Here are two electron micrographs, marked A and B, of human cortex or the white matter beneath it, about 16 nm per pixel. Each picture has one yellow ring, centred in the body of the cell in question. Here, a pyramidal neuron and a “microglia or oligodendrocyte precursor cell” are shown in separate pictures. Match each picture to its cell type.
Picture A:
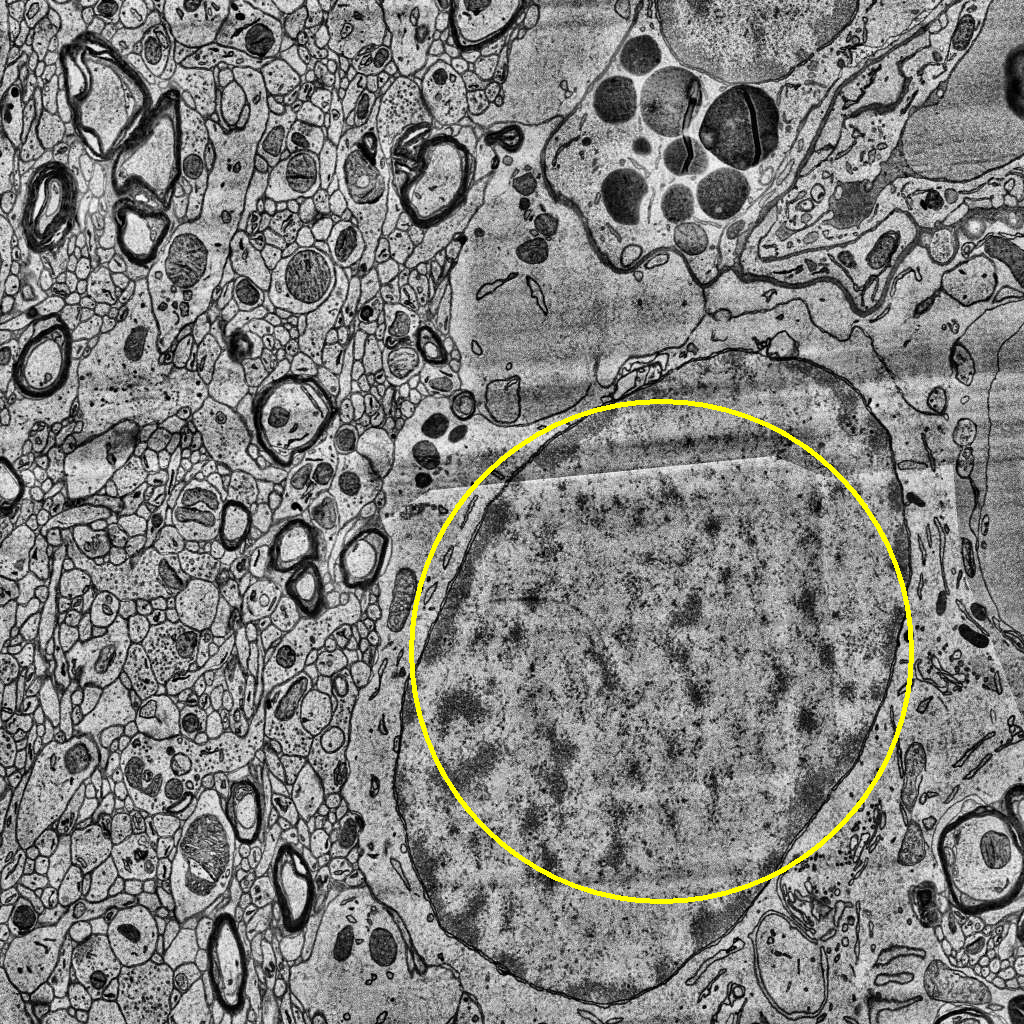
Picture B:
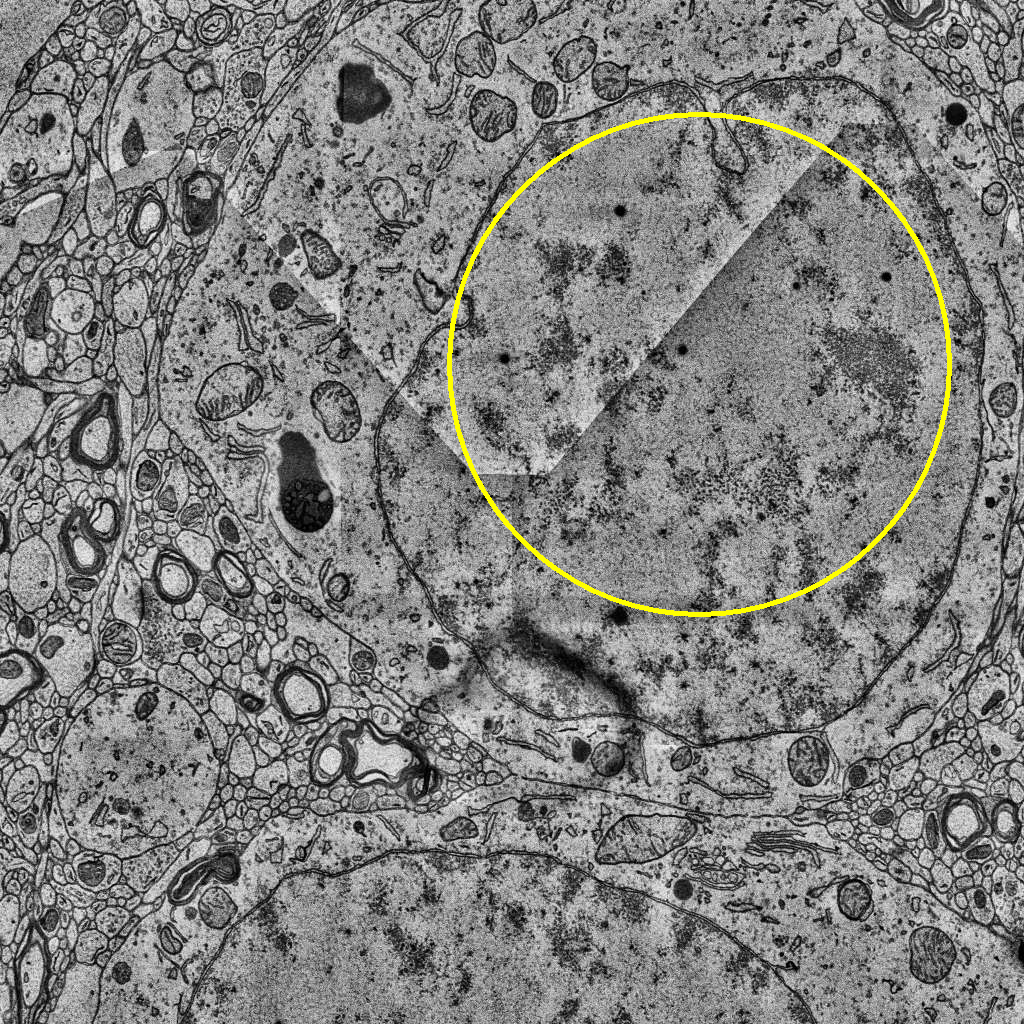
Picture A is of a “microglia or oligodendrocyte precursor cell”, and picture B is of a pyramidal neuron.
